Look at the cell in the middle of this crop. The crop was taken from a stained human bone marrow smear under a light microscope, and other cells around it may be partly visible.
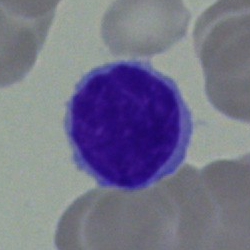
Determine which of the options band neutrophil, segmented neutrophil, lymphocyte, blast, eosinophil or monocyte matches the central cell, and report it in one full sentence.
The center cell of this crop is a lymphocyte.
